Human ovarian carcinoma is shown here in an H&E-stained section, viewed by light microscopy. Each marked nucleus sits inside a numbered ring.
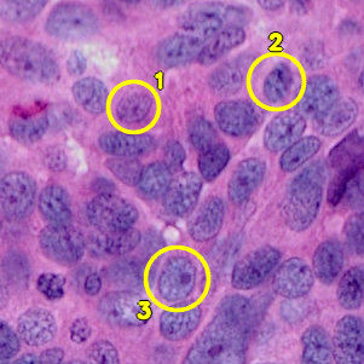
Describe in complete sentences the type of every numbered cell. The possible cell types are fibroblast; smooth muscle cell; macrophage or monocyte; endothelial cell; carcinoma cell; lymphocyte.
Cells 1 and 3 are carcinoma cells. Cell 2 is a macrophage or monocyte.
